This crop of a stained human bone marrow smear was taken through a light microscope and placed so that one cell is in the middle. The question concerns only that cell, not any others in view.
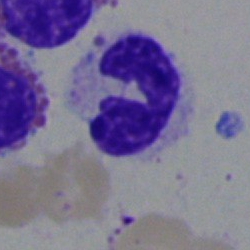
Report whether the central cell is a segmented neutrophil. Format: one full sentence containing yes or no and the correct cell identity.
No, a band neutrophil, not a segmented neutrophil, is what sits in the centre of the crop.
